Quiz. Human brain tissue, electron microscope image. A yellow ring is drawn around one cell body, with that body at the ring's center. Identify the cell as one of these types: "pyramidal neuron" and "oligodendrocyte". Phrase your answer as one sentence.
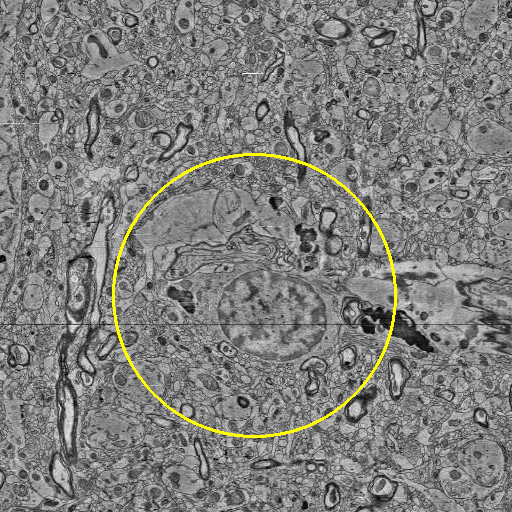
At the center of the ring sits an oligodendrocyte.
